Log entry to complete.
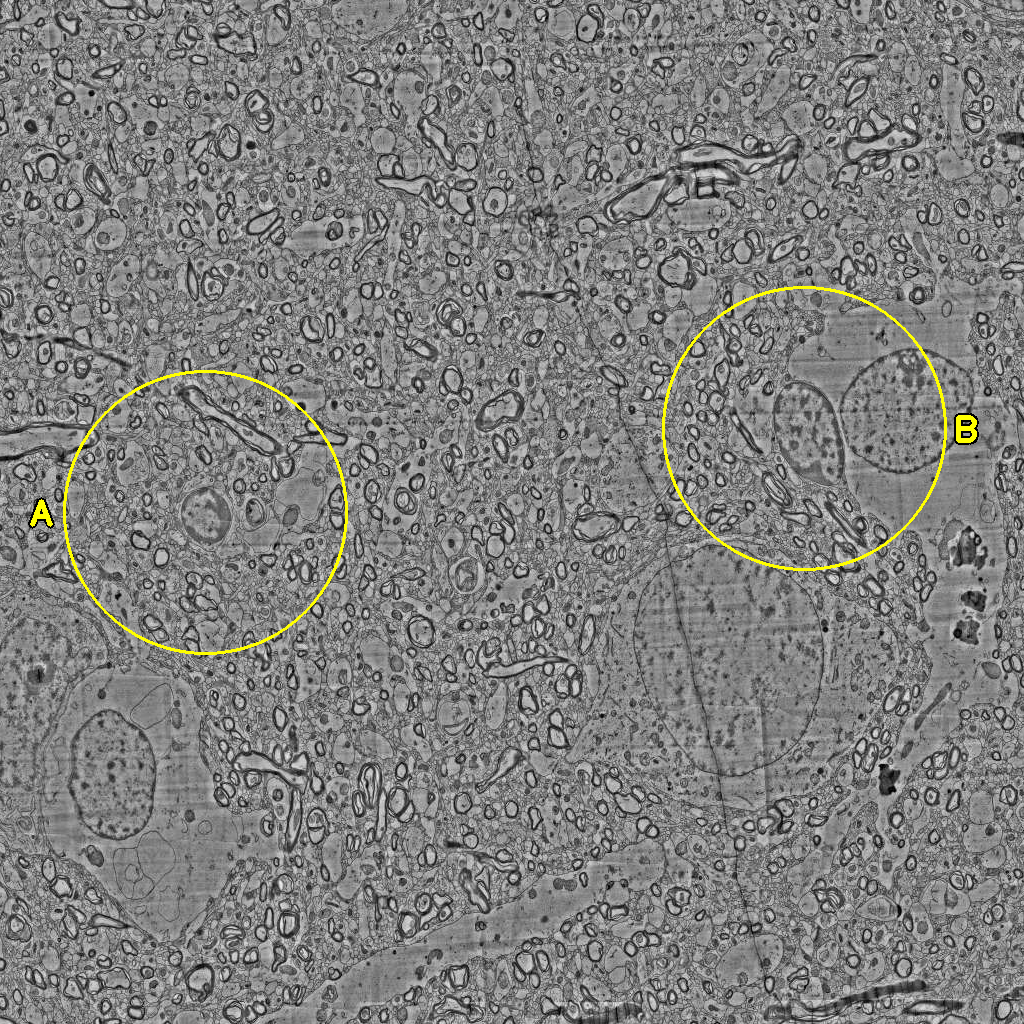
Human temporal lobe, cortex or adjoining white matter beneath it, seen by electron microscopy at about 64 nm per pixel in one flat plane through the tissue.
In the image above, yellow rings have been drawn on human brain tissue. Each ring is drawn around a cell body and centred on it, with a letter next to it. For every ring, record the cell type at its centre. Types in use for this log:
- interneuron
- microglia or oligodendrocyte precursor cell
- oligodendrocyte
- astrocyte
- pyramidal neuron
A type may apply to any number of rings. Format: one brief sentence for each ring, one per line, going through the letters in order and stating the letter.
In ring A, the centred cell is a microglial cell or oligodendrocyte precursor cell.
In ring B, the centred cell is a microglial cell or oligodendrocyte precursor cell.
